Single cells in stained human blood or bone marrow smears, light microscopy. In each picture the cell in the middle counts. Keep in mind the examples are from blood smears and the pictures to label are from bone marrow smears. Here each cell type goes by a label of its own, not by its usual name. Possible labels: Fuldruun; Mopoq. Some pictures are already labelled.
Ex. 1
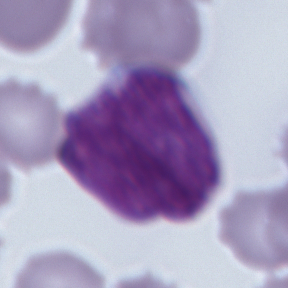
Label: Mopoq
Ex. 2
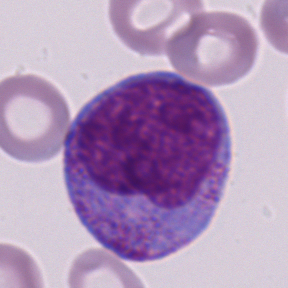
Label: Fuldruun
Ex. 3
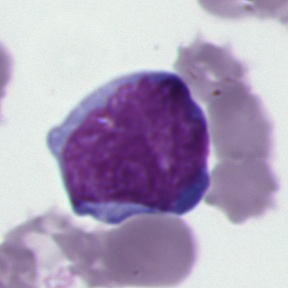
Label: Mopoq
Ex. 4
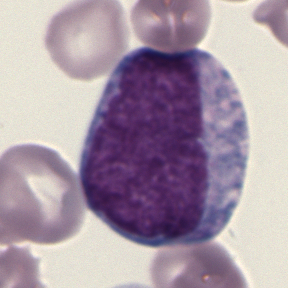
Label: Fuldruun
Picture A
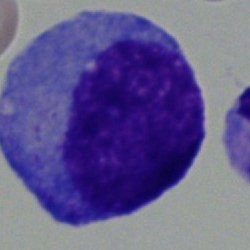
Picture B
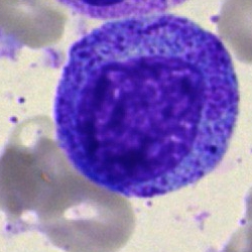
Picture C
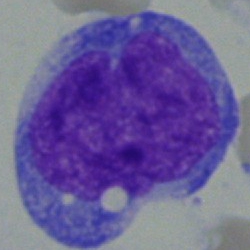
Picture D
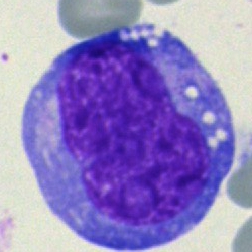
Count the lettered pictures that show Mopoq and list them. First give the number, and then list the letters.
2, namely C, D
